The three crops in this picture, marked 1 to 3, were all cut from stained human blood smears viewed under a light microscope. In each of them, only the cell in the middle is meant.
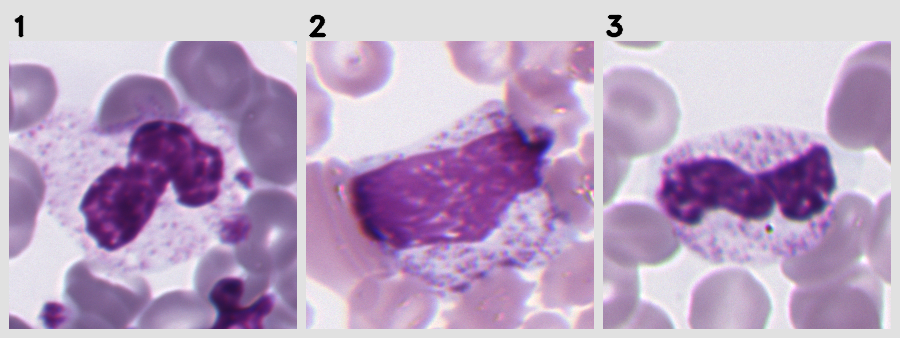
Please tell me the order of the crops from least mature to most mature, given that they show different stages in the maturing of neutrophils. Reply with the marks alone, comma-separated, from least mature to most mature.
2, 1, 3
